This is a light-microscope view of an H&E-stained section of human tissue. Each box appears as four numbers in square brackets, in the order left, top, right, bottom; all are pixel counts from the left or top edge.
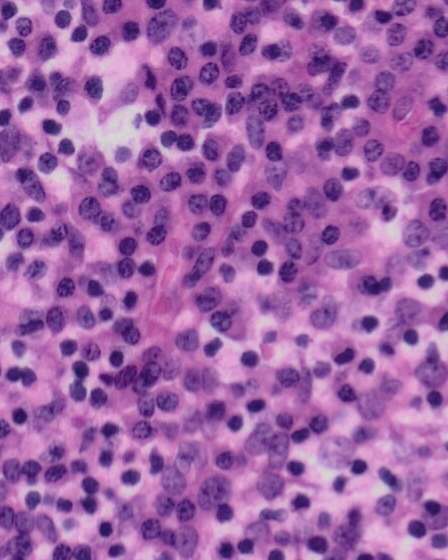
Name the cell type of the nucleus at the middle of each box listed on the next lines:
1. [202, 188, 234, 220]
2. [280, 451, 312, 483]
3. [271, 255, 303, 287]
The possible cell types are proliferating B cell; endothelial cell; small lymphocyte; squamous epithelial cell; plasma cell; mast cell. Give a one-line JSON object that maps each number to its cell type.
{"1": "plasma cell", "2": "squamous epithelial cell", "3": "plasma cell"}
